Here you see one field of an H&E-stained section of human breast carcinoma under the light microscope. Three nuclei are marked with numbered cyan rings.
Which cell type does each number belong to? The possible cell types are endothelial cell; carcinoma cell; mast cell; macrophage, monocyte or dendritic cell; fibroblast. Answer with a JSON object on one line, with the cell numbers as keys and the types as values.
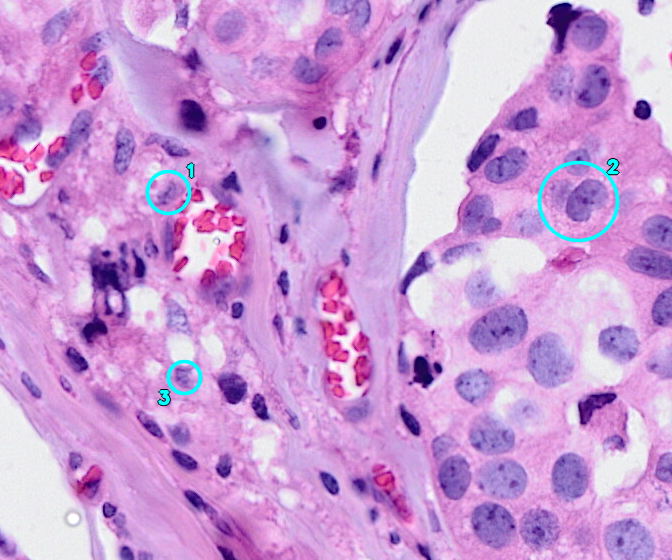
{"1": "endothelial cell", "2": "carcinoma cell", "3": "fibroblast"}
